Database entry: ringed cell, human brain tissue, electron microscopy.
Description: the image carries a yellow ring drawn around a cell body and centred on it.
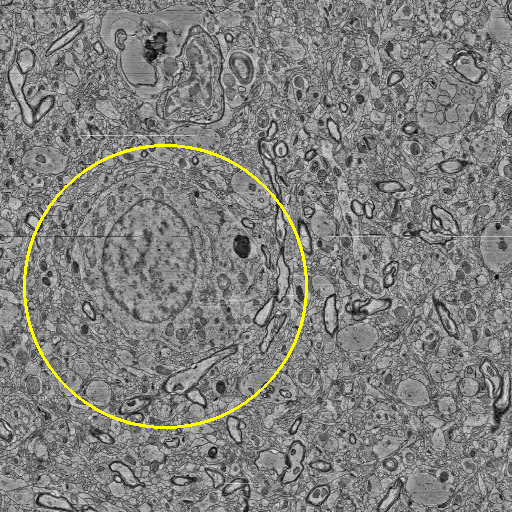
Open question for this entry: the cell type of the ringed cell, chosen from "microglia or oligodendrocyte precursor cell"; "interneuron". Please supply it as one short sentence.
The ringed cell is an interneuron.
